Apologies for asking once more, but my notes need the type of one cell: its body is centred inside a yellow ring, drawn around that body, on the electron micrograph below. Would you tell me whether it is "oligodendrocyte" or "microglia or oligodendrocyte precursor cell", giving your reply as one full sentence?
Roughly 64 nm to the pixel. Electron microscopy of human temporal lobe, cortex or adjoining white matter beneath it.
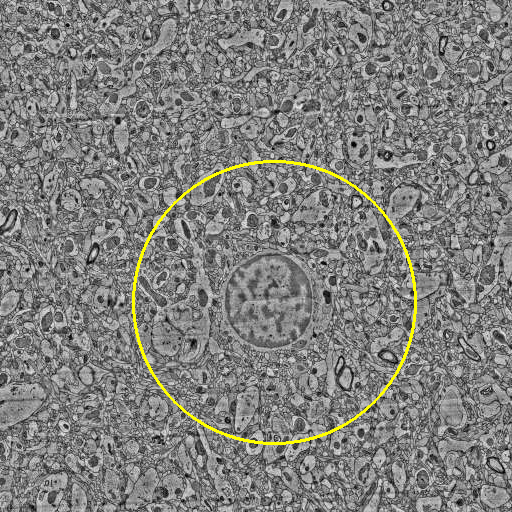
The cell that the yellow ring is centred on is an oligodendrocyte in this micrograph.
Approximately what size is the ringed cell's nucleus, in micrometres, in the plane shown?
In this plane, approximately 6 micrometres across.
